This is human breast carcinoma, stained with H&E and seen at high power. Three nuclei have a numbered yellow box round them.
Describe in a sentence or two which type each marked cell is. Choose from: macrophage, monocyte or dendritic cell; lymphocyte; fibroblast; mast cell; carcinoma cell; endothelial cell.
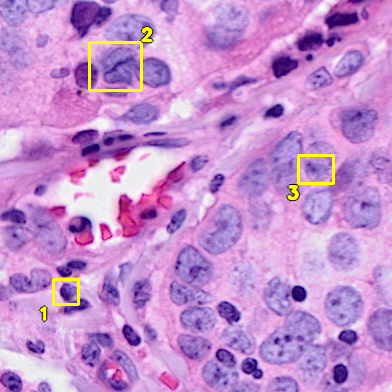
Cell 1 is a lymphocyte, cell 2 is a carcinoma cell and cell 3 is a carcinoma cell.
